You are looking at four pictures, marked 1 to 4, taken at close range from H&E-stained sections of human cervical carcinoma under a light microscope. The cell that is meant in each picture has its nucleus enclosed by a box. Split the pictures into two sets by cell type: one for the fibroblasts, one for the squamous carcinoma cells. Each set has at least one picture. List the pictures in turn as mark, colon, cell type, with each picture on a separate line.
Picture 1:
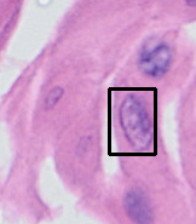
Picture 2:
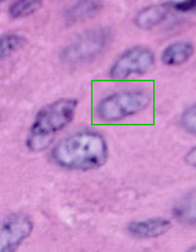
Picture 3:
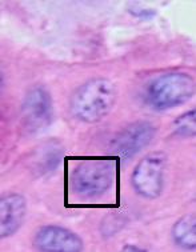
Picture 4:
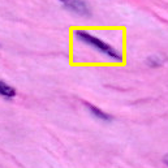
1: squamous carcinoma cell
2: squamous carcinoma cell
3: squamous carcinoma cell
4: fibroblast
